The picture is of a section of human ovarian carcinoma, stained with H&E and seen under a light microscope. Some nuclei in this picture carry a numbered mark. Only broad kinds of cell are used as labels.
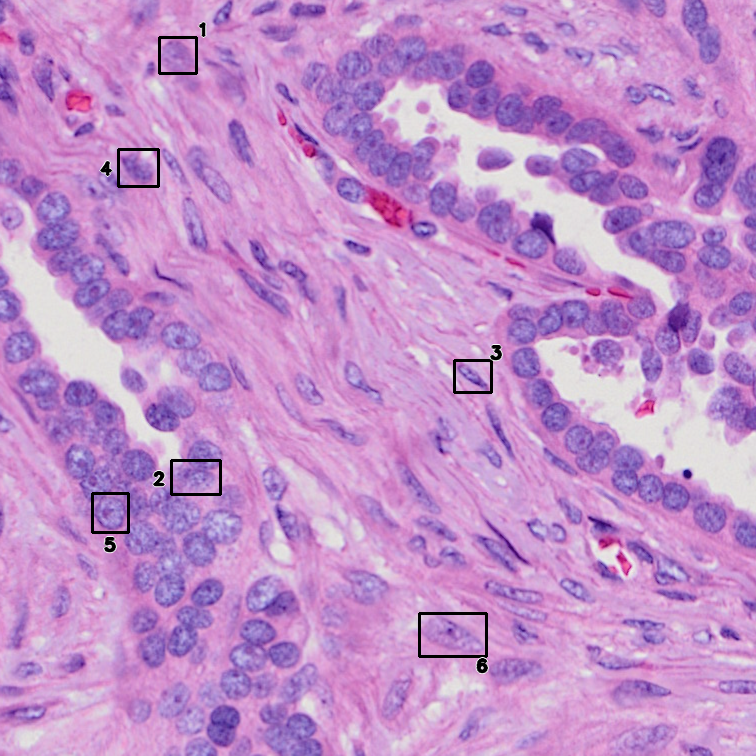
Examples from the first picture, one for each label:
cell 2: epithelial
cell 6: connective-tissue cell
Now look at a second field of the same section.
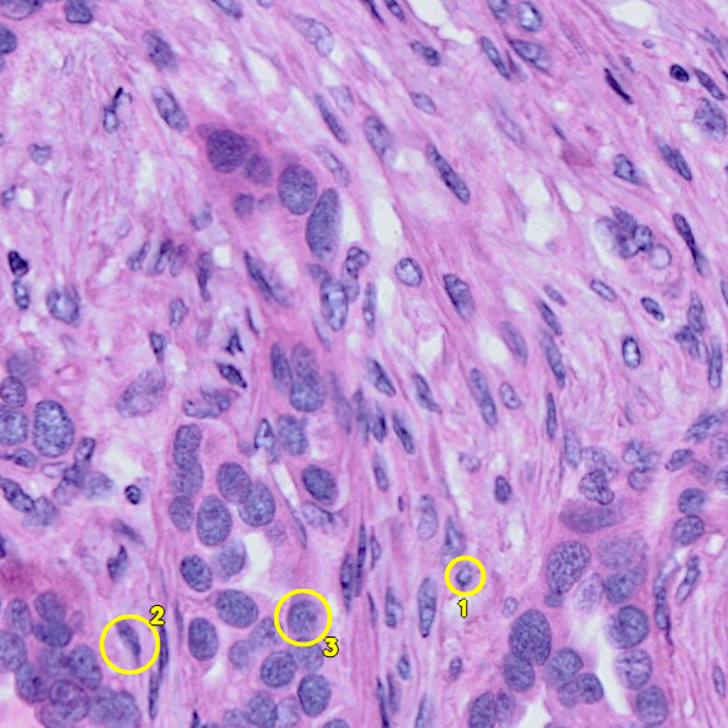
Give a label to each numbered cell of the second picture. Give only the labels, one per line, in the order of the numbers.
connective-tissue cell
connective-tissue cell
epithelial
